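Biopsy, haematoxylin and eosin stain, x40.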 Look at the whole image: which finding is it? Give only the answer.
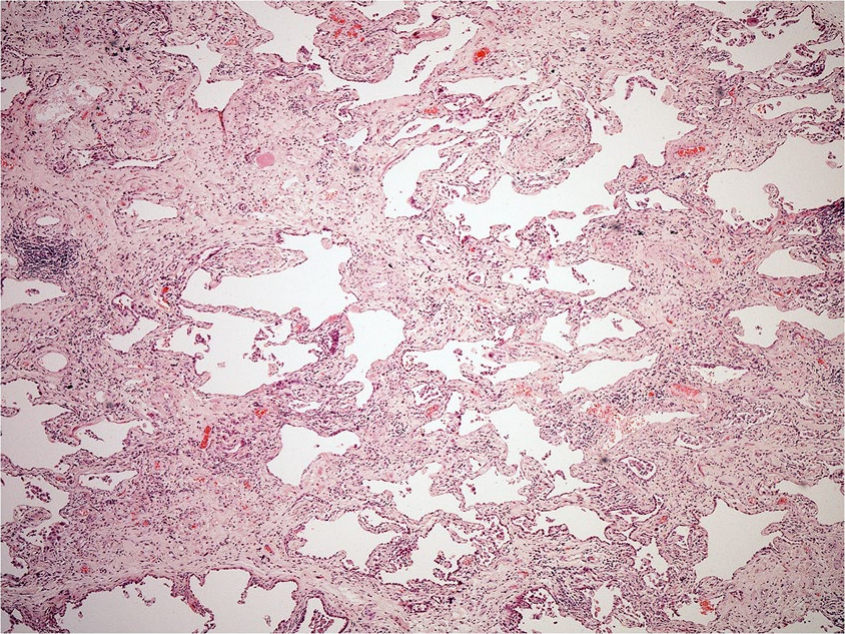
diffuse homogenous interstitial fibrosis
